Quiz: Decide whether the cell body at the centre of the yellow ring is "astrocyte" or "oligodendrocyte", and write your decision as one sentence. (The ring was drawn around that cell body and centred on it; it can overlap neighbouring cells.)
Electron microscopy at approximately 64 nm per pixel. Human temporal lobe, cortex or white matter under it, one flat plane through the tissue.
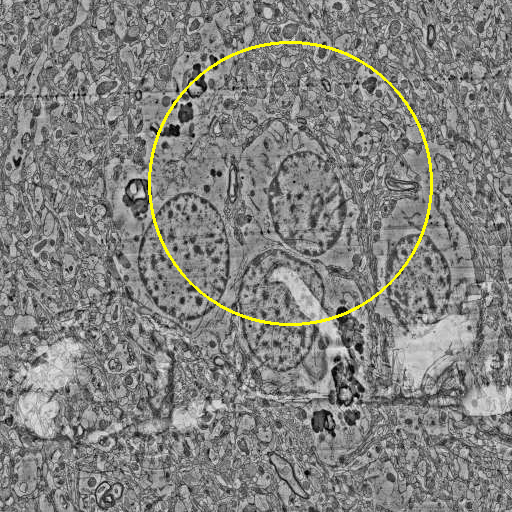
The cell the ring is centred on is an astrocyte.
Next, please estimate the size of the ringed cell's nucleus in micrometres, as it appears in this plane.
About 7 by 5 micrometers, in this plane.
